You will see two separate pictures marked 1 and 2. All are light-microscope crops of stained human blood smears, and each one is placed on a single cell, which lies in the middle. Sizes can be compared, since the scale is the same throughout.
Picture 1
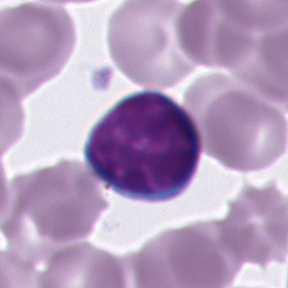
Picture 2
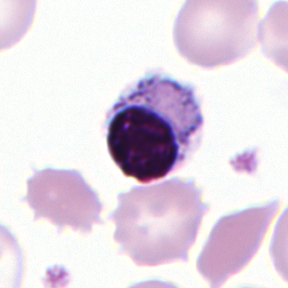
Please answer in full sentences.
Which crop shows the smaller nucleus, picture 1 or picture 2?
It is the nucleus in picture 2; the one in picture 1 has about 2.5 times its area.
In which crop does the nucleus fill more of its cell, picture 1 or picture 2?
In picture 1 the nucleus takes up the larger part of its cell.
